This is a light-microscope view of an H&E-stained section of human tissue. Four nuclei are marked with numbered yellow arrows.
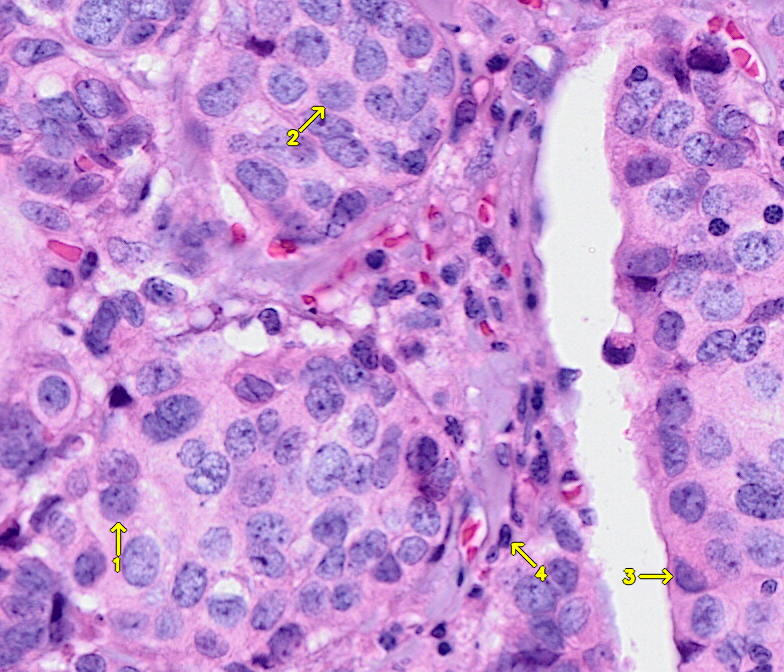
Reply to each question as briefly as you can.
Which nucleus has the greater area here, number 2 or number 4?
2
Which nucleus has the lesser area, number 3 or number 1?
3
